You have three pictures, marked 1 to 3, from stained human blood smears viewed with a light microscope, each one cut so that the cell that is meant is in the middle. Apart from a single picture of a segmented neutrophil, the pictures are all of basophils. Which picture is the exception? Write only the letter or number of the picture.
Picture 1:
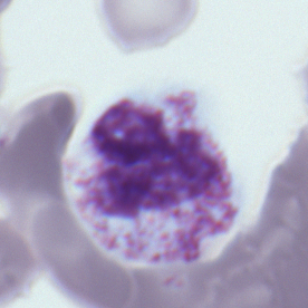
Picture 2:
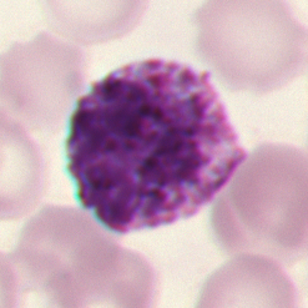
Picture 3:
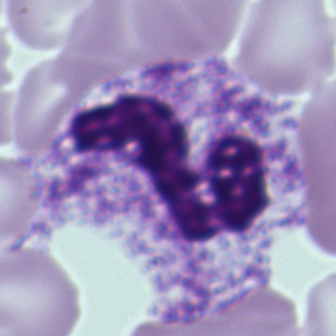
3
